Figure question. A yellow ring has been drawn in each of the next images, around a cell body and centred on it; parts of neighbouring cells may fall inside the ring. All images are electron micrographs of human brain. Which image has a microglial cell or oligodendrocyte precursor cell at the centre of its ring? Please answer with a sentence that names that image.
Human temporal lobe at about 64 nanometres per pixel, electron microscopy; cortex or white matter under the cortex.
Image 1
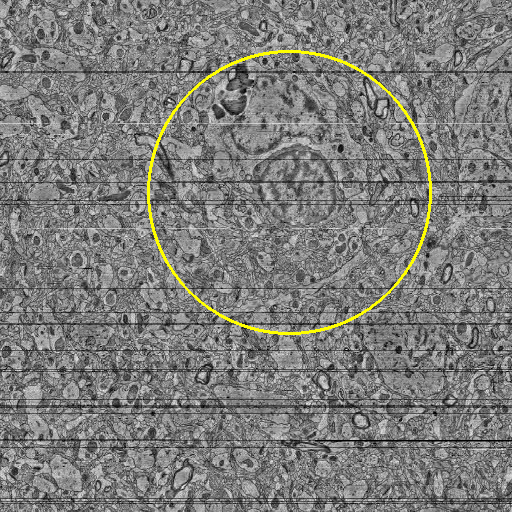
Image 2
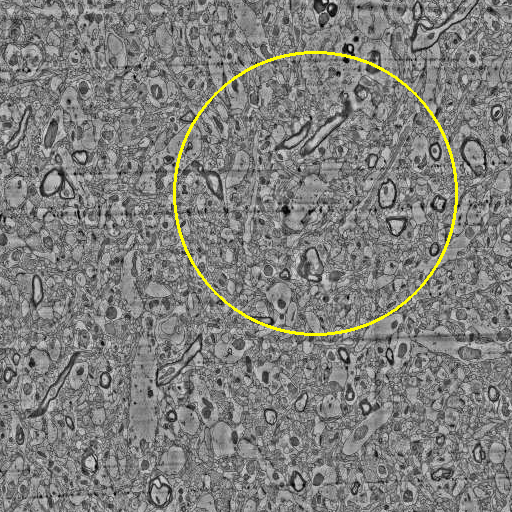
The cell at the centre of the ring in Image 2 is of that kind.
